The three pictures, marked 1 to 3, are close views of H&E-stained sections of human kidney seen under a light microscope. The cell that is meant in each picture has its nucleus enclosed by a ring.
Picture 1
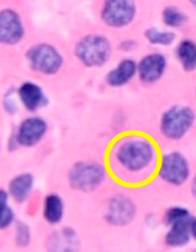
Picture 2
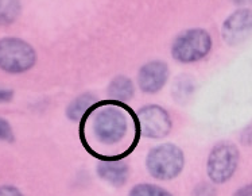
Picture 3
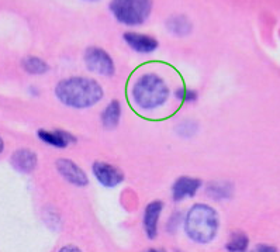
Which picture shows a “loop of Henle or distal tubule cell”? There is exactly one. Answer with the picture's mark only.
1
